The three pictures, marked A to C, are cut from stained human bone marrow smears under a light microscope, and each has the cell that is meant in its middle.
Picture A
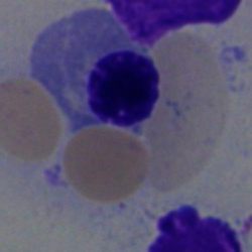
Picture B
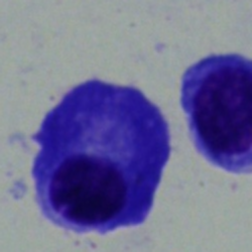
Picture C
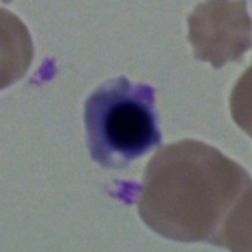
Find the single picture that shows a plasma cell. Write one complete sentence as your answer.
The plasma cell is the one in picture B.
